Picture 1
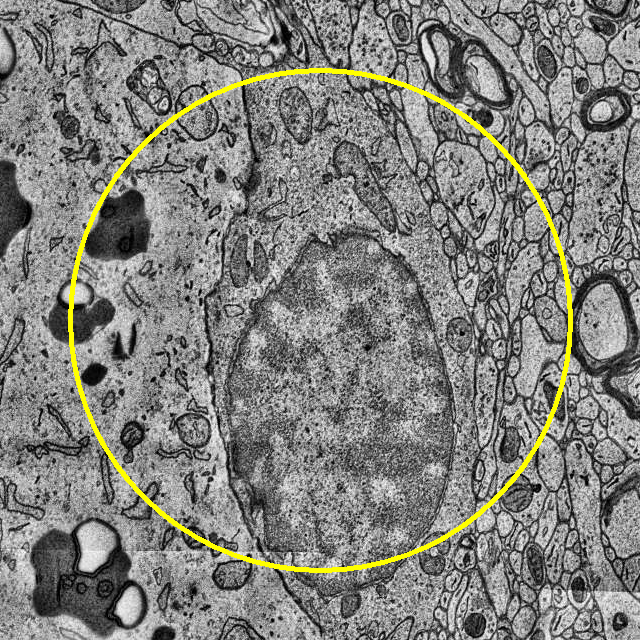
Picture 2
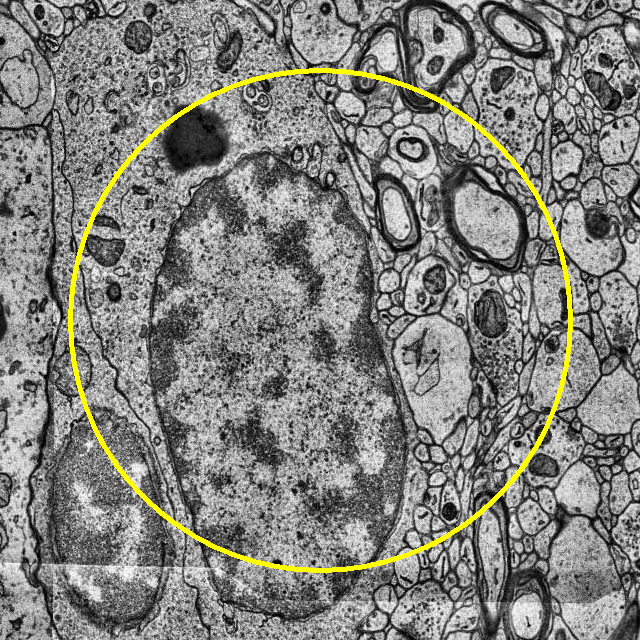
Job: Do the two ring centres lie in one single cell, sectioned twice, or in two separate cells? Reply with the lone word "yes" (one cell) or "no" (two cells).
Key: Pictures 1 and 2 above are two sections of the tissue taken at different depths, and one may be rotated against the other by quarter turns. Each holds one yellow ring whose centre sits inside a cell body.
yes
